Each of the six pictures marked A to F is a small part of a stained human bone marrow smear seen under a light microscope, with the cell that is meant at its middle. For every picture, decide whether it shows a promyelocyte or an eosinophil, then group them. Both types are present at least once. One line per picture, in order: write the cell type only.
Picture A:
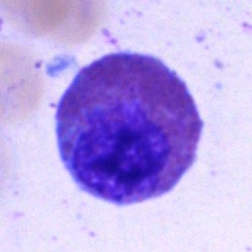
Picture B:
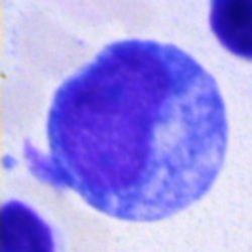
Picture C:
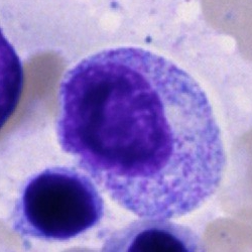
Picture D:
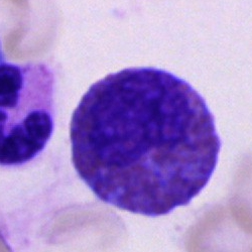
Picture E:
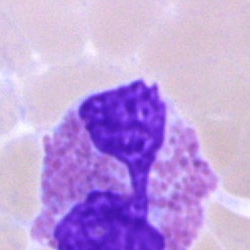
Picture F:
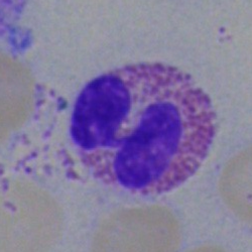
eosinophil
promyelocyte
promyelocyte
eosinophil
eosinophil
eosinophil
